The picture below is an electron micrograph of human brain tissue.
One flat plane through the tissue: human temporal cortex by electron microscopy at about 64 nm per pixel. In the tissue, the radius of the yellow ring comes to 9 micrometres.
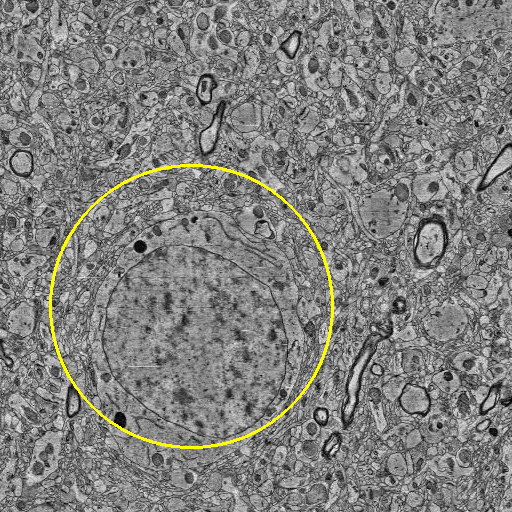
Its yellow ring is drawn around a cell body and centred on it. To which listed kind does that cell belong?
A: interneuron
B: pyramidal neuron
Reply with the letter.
B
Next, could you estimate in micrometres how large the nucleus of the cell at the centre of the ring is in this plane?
Approximately 12 micrometres across in this plane.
